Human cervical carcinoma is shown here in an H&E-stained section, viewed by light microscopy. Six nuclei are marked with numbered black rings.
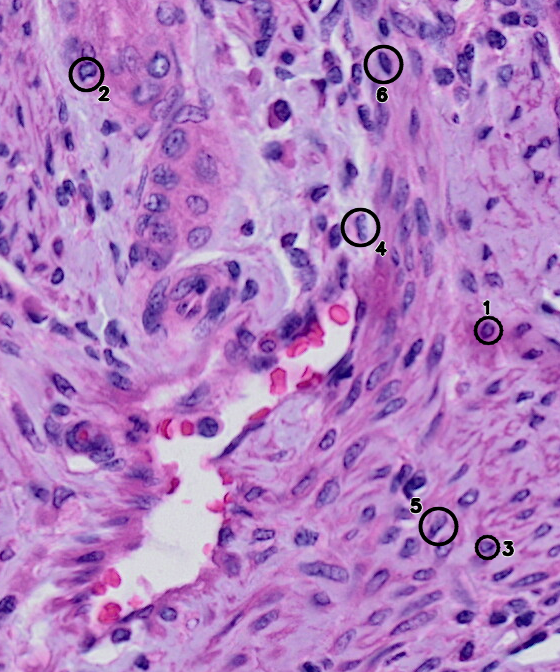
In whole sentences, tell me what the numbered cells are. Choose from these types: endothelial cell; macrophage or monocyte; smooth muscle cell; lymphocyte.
Cells 1, 2, 3 and 5 are smooth muscle cells. Cells 4 and 6 are lymphocytes.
